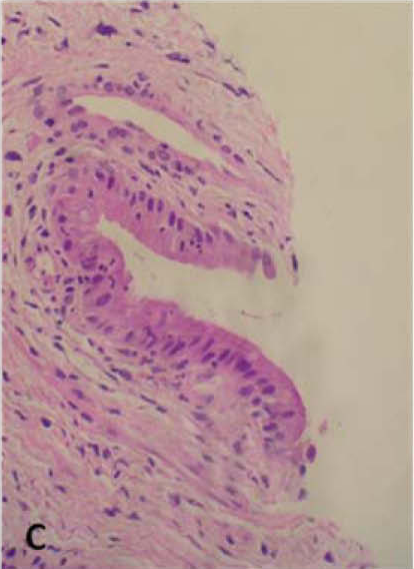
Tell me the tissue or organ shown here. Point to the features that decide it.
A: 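Tall columnar epithelium lines narrow slit-like lumens. Loose stroma with spindle-shaped cells surrounds the epithelium. That points to this answer: mature glandular tissue.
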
